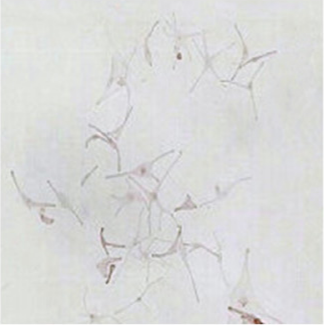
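Scattered cultured melanocytes lie on a pale background, each with a small, faintly brownish cell body from which two to four long, thin, tapering processes radiate, giving many cells a star or tripod shape. The processes are very long relative to the cell bodies and often branch or cross those of neighbouring cells, forming a loose network in the centre of the field. Cell bodies are flat and lightly tinted, with a slightly denser central region where the nucleus sits. Very few cells are rounded. This is the typical spread, dendritic form of pigment cells growing in culture.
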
